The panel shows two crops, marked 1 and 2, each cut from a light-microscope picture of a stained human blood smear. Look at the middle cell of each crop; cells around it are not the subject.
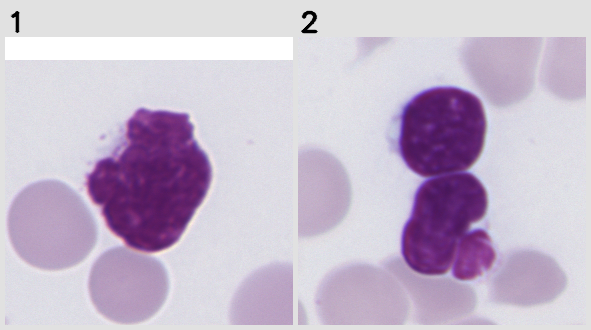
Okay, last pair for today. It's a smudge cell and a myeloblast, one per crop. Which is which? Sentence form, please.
The correct labels are a smudge cell for crop 1 and a myeloblast for crop 2.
